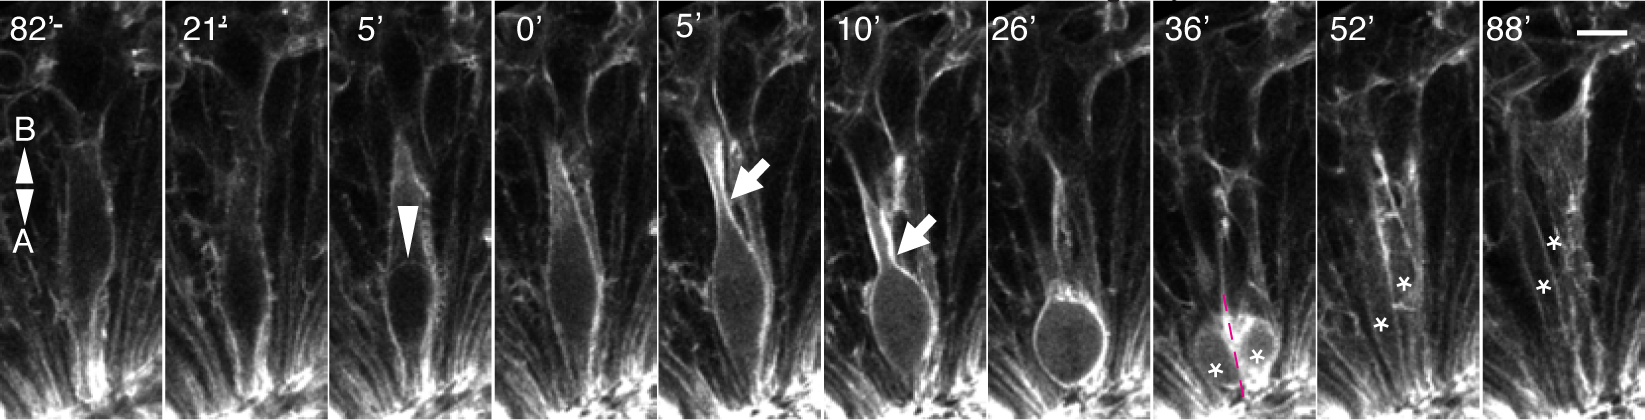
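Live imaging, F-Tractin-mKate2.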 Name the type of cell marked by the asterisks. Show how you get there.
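Daughter cells. In later frames the two marked cells elongate again.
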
